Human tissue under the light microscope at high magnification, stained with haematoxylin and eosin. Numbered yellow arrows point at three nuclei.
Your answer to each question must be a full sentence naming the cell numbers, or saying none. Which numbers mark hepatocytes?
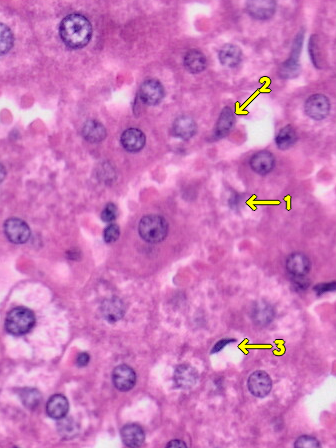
As for the numbered cells, only cell 1 is a hepatocyte.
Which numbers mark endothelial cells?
Cell 3 is an endothelial cell; every other numbered cell is something else.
